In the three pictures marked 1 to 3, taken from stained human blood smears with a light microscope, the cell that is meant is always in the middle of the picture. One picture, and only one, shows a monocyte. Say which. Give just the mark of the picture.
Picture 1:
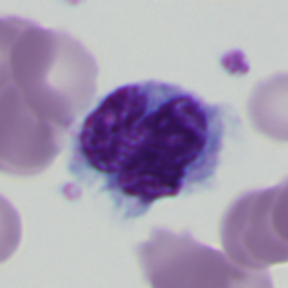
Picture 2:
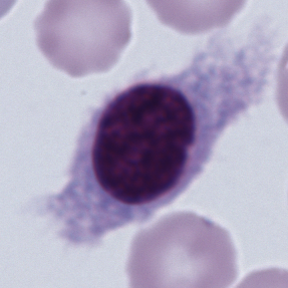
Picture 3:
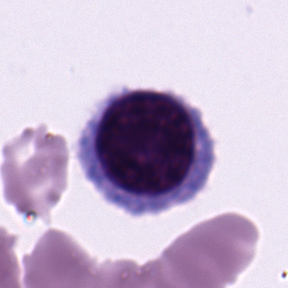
1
